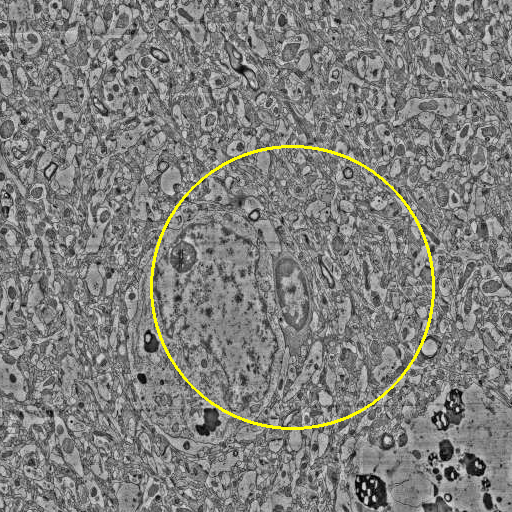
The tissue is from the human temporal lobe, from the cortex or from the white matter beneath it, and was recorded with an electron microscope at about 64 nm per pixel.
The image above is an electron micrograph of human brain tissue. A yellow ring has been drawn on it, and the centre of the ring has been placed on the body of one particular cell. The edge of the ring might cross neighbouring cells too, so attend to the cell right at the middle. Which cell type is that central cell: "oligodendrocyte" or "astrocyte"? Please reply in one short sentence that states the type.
The central cell in the ring is an oligodendrocyte.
